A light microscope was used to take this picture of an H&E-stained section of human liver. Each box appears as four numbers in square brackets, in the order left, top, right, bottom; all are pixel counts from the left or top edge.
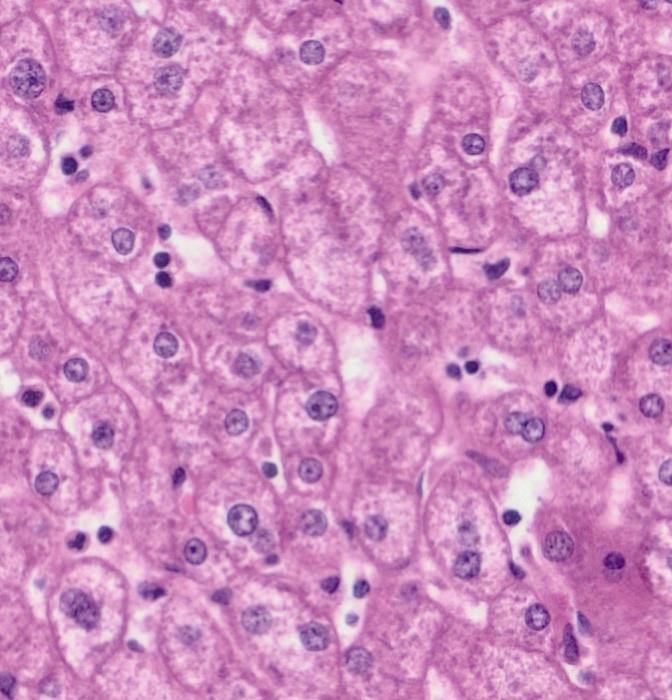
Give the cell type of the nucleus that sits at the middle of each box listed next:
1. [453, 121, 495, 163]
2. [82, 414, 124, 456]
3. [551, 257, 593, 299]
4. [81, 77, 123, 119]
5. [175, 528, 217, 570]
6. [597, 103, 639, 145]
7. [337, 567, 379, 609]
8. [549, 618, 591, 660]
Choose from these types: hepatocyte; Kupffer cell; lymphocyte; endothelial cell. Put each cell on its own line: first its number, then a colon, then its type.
1: hepatocyte
2: hepatocyte
3: hepatocyte
4: hepatocyte
5: hepatocyte
6: lymphocyte
7: lymphocyte
8: Kupffer cell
